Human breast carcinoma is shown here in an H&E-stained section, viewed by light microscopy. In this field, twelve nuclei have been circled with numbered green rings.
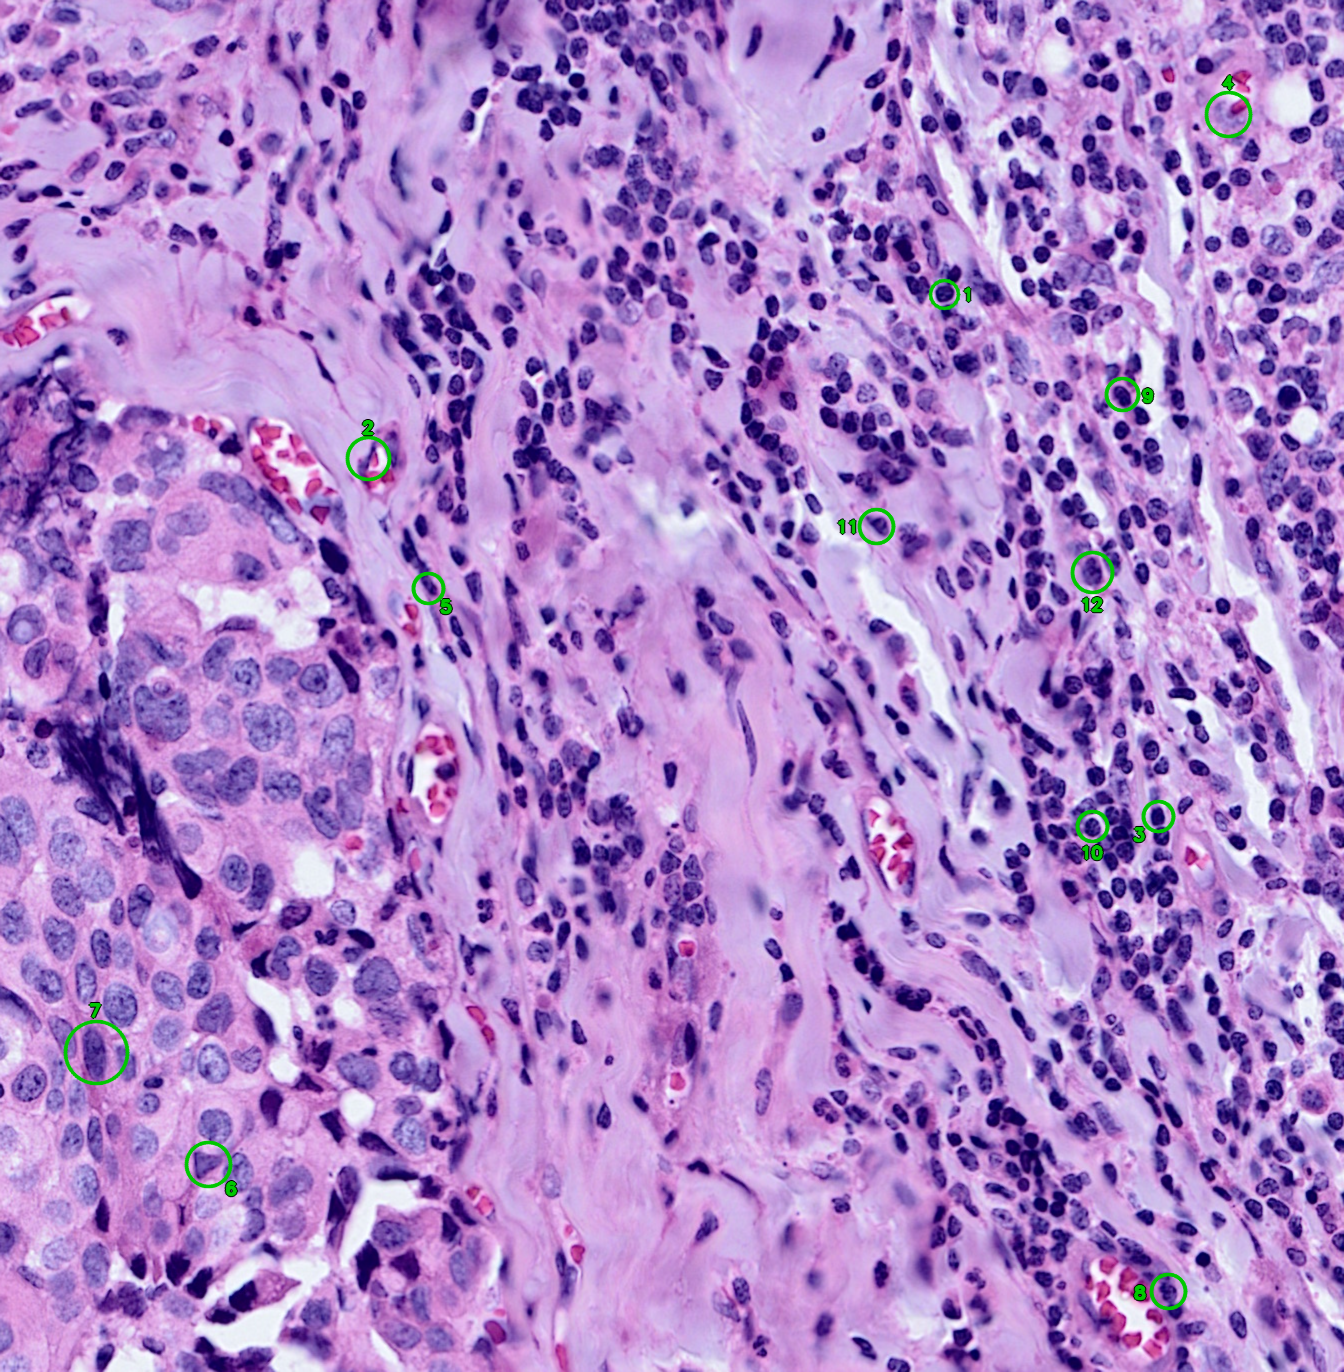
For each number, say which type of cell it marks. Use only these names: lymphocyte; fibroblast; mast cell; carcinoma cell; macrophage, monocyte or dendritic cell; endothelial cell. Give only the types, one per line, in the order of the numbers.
lymphocyte
endothelial cell
lymphocyte
endothelial cell
endothelial cell
carcinoma cell
carcinoma cell
lymphocyte
lymphocyte
lymphocyte
lymphocyte
lymphocyte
